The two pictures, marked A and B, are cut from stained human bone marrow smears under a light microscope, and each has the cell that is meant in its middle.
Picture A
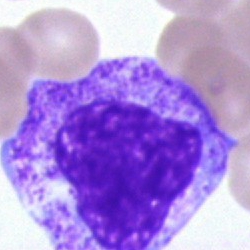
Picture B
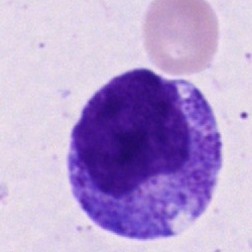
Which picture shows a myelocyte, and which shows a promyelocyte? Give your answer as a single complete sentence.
Picture B shows a promyelocyte, while picture A shows a myelocyte.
